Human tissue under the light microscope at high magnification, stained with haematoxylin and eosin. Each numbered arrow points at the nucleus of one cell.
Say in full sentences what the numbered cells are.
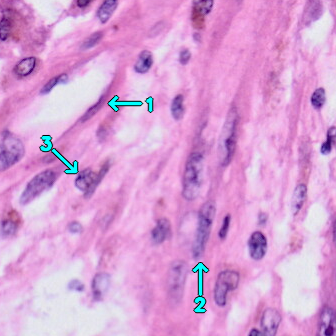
Cell 1 is an endothelial cell, cell 2 is an endothelial cell and cell 3 is a macrophage or monocyte.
